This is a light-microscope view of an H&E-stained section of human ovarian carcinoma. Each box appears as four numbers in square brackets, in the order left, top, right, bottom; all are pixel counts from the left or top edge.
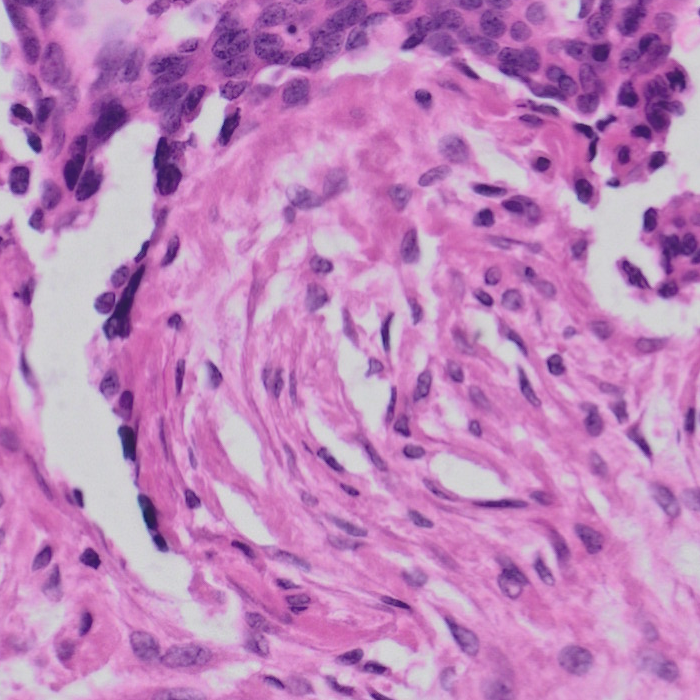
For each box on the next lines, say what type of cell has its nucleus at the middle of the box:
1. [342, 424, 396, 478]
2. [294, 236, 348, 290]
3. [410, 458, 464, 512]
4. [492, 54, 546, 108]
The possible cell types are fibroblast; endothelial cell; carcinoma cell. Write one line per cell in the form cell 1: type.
cell 1: fibroblast
cell 2: fibroblast
cell 3: fibroblast
cell 4: carcinoma cell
